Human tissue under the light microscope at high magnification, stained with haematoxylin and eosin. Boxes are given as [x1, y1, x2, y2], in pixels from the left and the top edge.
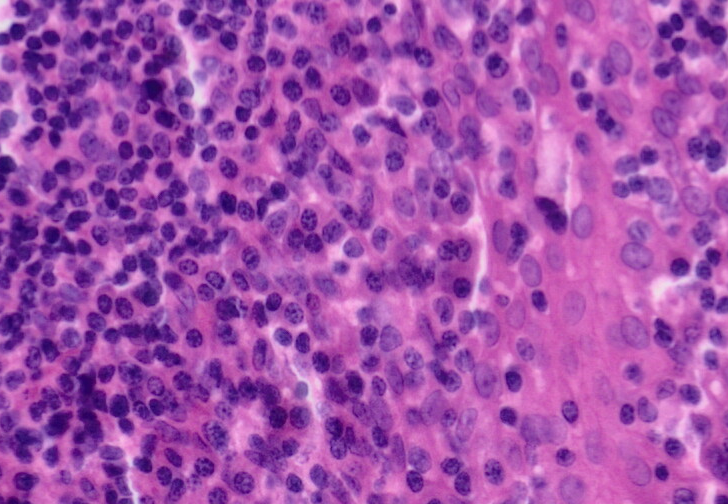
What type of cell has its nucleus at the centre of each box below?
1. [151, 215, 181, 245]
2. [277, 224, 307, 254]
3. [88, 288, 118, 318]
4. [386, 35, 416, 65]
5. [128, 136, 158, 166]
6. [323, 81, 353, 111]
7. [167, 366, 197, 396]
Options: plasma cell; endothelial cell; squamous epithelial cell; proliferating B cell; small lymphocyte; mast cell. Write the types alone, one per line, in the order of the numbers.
small lymphocyte
plasma cell
plasma cell
squamous epithelial cell
small lymphocyte
plasma cell
plasma cell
